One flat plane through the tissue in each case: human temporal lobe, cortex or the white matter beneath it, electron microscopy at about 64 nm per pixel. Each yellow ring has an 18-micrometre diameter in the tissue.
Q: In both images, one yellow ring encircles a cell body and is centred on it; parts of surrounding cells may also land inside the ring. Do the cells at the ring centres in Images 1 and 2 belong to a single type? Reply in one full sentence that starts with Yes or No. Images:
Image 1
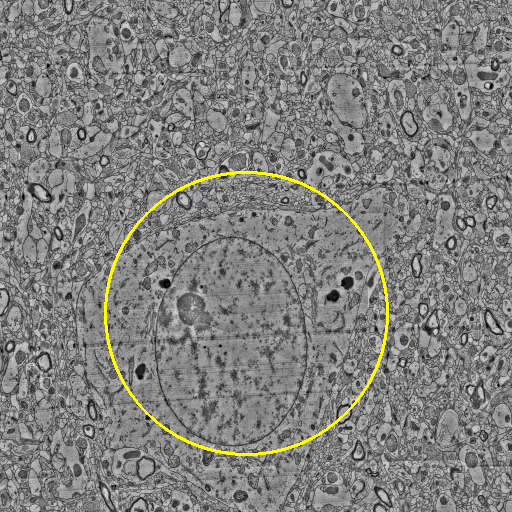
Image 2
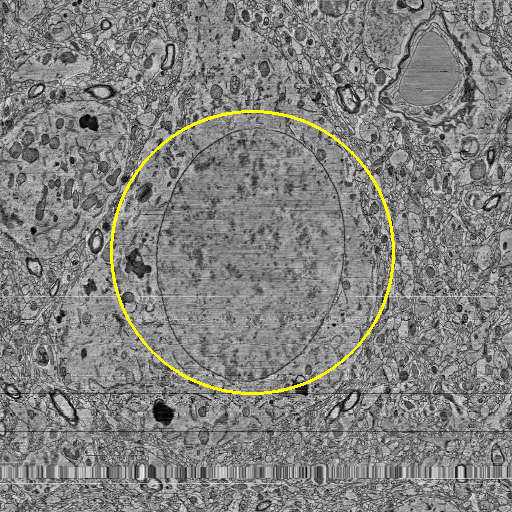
Yes, the cells at the ring centres in Images 1 and 2 are of a single type.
